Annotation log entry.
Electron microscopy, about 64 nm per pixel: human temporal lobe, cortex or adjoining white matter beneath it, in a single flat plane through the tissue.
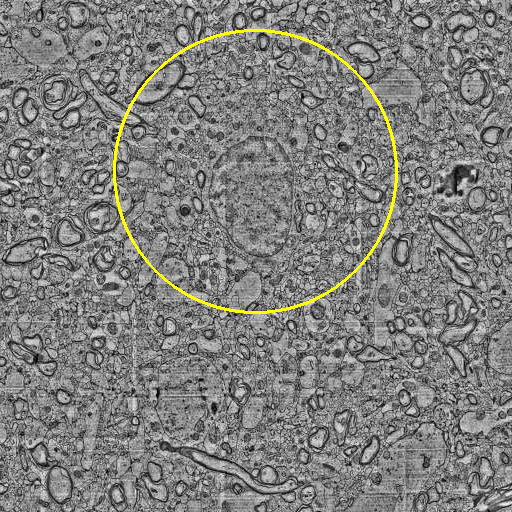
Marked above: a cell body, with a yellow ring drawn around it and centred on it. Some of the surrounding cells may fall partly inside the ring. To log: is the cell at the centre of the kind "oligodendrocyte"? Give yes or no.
Yes, the cell at the centre is of that kind.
